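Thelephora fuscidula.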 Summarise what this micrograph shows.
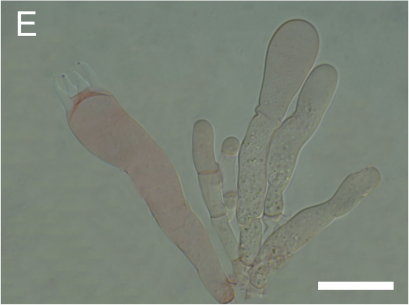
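Basidia and basidioles of the hymenium. One long club-shaped basidium, stained pink, narrows towards its base and bears short prongs at its broad apex. Beside it stand several paler, slender club-shaped basidioles with granular contents and rounded tips, some divided by cross walls. All arise from a common base at the lower edge.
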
